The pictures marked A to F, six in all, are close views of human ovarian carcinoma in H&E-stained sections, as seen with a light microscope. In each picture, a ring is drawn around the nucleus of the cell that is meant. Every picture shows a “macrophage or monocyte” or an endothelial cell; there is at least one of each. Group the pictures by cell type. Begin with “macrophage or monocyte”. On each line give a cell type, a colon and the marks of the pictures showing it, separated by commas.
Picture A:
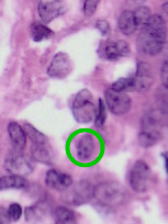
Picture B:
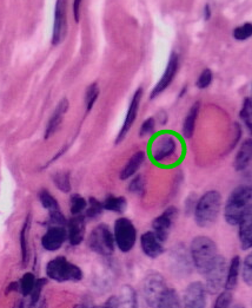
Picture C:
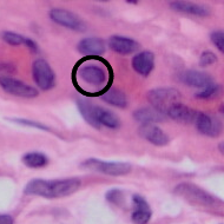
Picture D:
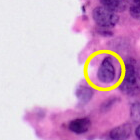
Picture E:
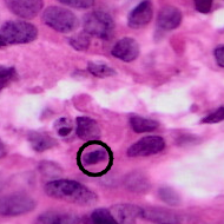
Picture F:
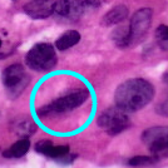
macrophage or monocyte: A, D
endothelial cell: B, C, E, F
